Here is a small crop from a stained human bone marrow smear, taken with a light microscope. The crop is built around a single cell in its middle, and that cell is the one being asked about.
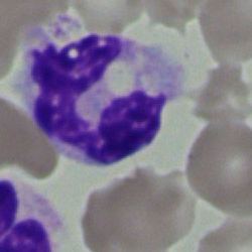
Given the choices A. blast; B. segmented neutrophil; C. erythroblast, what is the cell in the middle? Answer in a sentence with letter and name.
Option B, which names the central cell as a segmented neutrophil, is correct.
